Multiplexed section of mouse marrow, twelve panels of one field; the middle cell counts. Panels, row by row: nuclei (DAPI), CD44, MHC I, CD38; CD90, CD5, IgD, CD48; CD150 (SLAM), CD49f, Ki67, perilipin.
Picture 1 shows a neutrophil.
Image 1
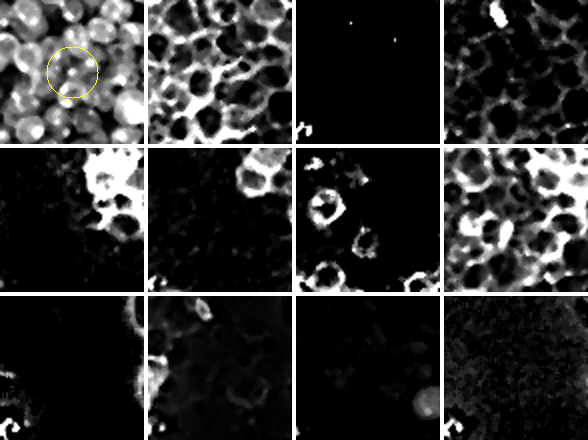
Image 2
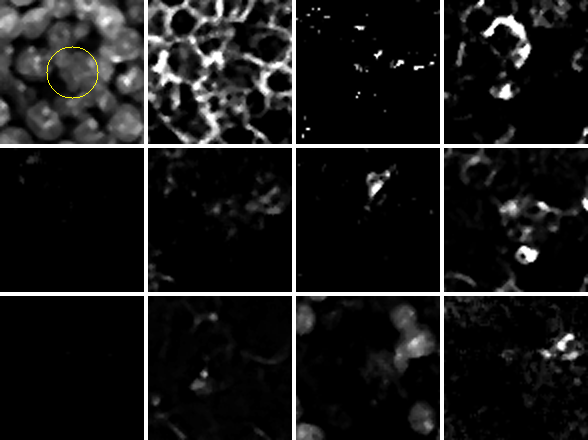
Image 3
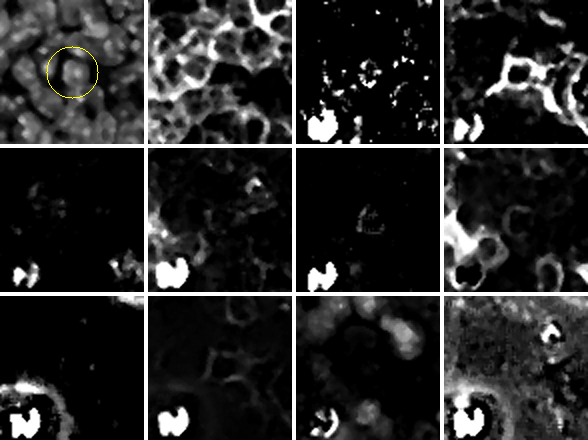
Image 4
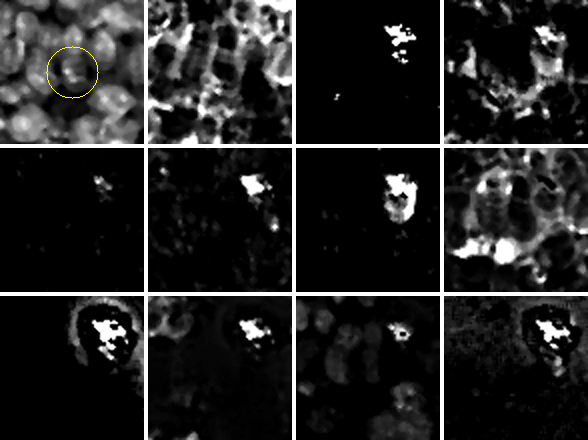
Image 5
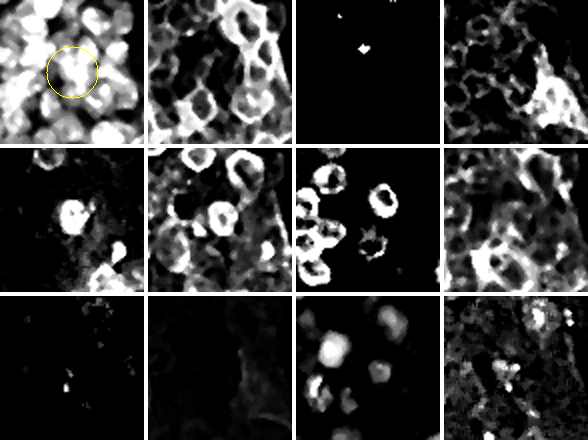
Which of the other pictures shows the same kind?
Picture 4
